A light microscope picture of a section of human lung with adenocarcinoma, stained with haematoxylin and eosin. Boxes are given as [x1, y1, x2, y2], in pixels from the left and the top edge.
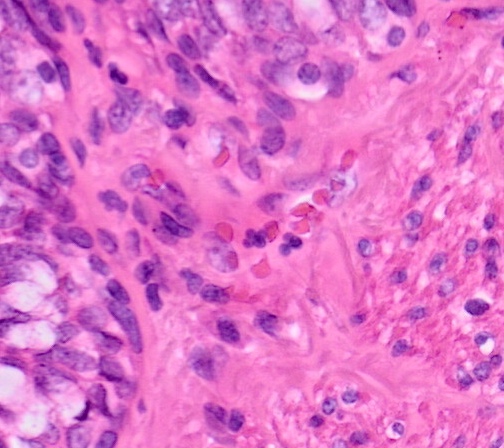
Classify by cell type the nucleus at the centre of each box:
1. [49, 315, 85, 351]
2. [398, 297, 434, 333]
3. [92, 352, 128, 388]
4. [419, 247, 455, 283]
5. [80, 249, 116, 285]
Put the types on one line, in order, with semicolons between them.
ciliated epithelial cell; smooth muscle cell or pericyte; ciliated epithelial cell; smooth muscle cell or pericyte; ciliated epithelial cell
